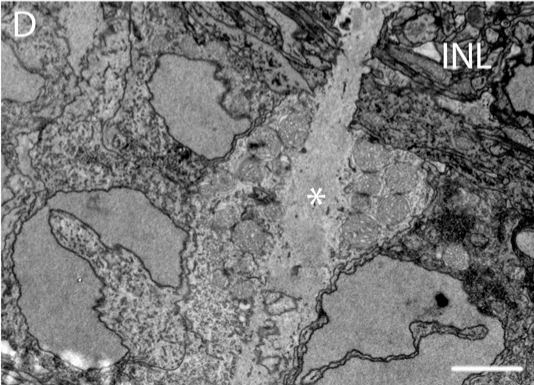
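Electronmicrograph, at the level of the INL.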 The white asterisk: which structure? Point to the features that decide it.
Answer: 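The asterisk lies on a narrow pale band of cytoplasm running obliquely between cell bodies. Large nuclei of neighbouring cells flank this band on both sides.
Mΰller cell process.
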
